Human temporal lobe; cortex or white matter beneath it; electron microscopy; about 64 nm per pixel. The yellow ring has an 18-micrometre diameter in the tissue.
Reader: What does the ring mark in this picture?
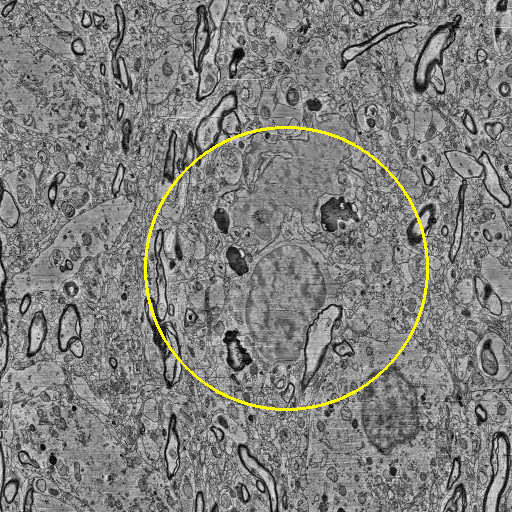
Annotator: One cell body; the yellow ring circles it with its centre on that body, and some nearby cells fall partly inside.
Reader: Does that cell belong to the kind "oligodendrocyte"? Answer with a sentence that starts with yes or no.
Yes, in this picture the ringed cell at the centre belongs to that kind.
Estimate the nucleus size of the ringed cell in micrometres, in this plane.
The nucleus of the ringed cell is clearly longer than it is wide in this plane, about 8 by 5 micrometres.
